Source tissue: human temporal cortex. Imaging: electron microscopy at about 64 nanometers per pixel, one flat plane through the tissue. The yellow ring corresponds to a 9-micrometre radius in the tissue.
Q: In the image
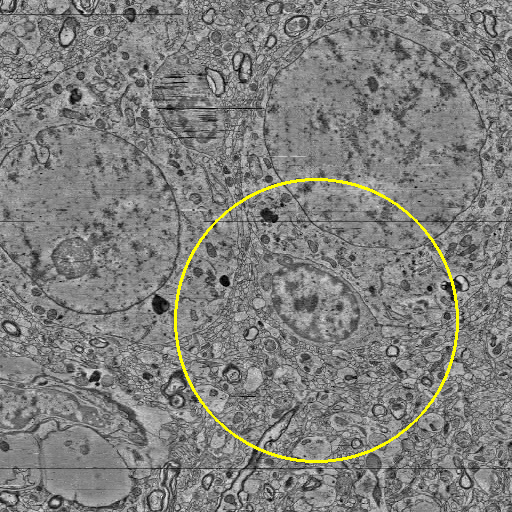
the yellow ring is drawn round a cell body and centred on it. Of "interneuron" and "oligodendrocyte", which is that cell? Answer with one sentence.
The cell centred in the ring is an oligodendrocyte.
